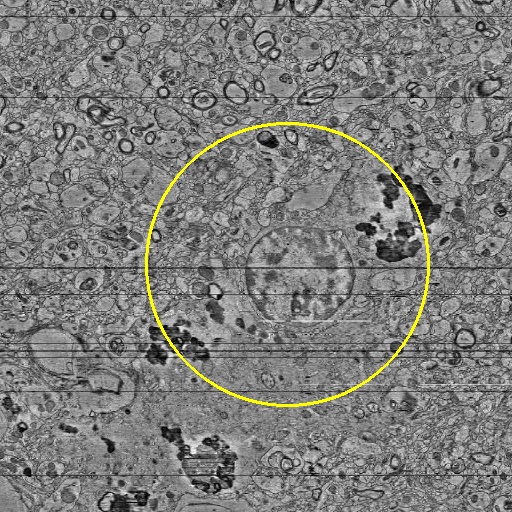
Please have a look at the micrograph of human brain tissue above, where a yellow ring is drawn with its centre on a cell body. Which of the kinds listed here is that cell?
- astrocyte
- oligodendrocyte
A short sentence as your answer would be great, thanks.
At the centre of the ring sits an oligodendrocyte.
